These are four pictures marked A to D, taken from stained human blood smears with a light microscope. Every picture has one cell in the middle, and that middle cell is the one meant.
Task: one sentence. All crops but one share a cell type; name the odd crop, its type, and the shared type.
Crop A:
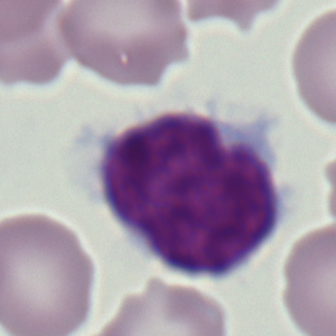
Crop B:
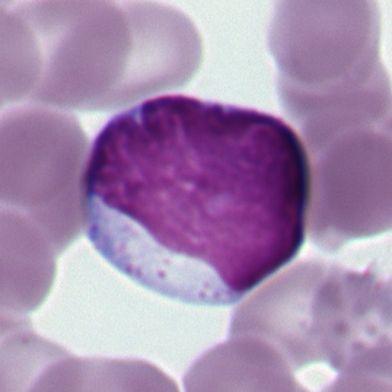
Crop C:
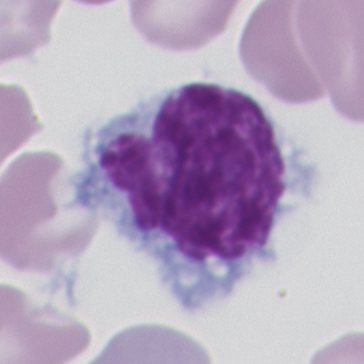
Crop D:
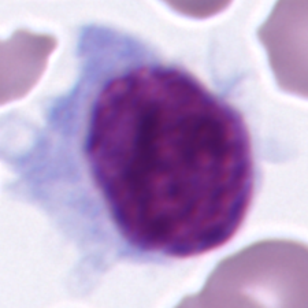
Crop B is the exception here: it is a large granular lymphocyte, and the others are hairy cells.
